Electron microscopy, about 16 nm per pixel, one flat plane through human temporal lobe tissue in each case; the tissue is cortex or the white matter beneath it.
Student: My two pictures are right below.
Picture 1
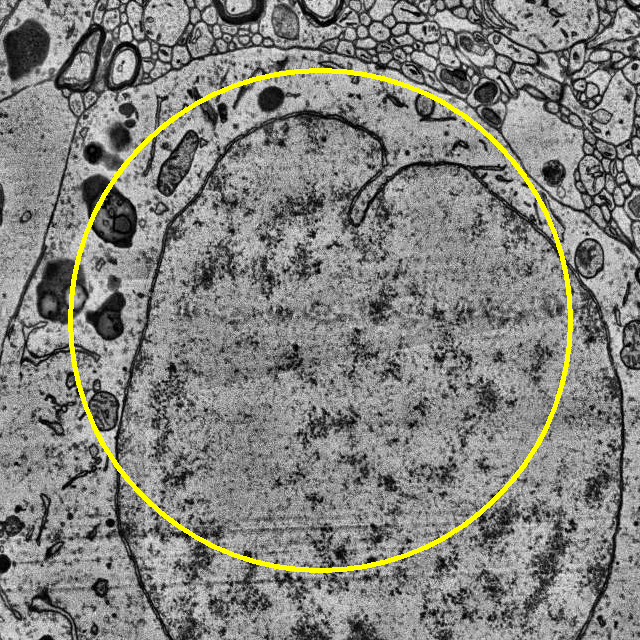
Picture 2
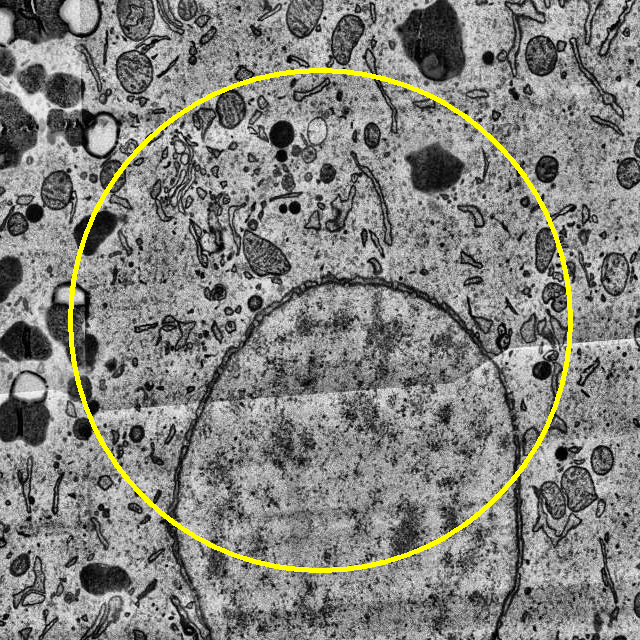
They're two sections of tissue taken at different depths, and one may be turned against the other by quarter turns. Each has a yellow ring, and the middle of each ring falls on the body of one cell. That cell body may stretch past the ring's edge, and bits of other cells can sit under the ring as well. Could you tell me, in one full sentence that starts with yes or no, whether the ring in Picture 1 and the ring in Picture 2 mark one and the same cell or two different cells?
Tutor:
No, the two rings in this image mark separate cells.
